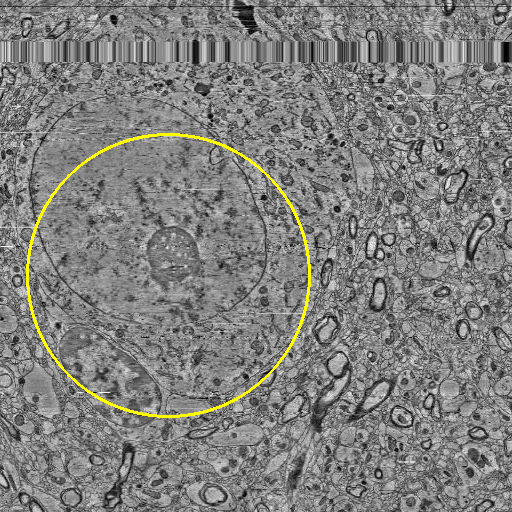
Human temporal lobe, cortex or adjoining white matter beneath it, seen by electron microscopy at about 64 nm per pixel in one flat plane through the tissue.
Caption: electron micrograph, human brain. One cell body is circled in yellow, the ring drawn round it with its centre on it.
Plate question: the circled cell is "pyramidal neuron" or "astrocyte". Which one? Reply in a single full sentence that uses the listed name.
The yellow ring on the plate is centred on a pyramidal neuron, going by the listed names.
